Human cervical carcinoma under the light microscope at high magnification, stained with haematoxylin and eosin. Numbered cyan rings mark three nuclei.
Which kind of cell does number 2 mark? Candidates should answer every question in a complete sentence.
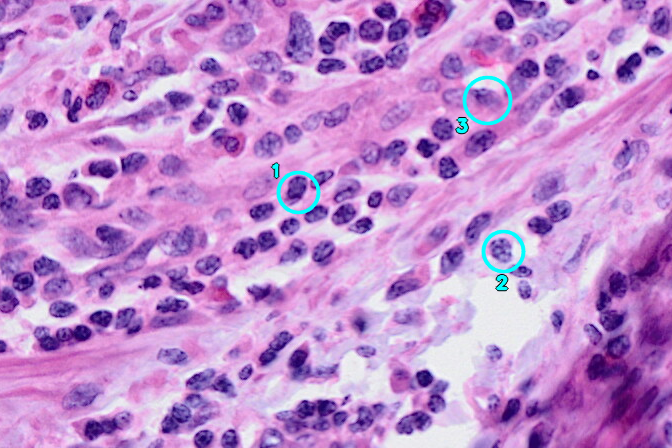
Looking at the numbered marks, cell 2 is a lymphocyte.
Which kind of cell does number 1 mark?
The expected answer is that cell 1 is a lymphocyte.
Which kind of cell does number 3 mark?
The expected answer is that cell 3 is an endothelial cell.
